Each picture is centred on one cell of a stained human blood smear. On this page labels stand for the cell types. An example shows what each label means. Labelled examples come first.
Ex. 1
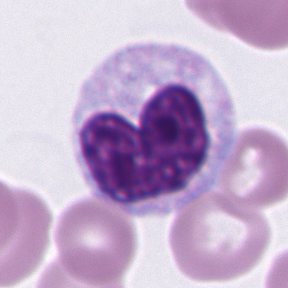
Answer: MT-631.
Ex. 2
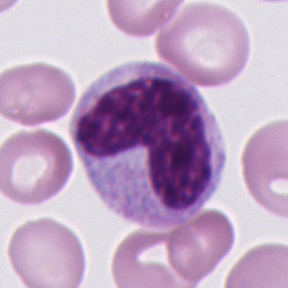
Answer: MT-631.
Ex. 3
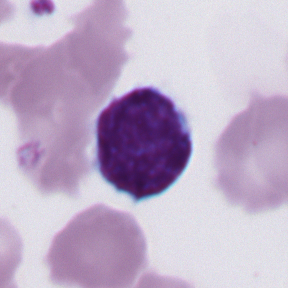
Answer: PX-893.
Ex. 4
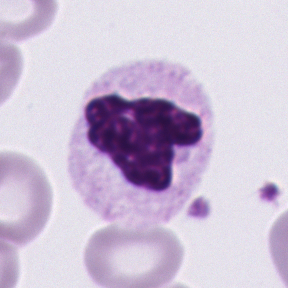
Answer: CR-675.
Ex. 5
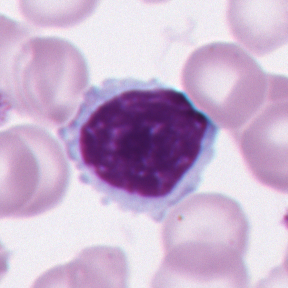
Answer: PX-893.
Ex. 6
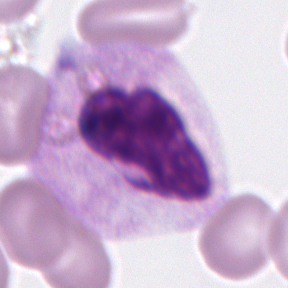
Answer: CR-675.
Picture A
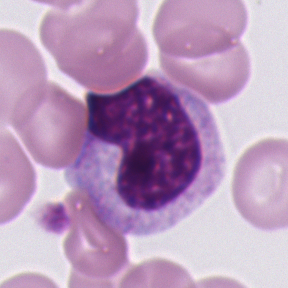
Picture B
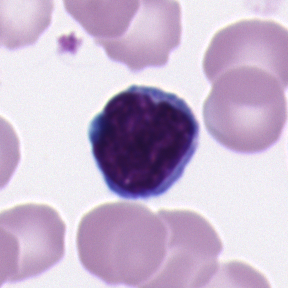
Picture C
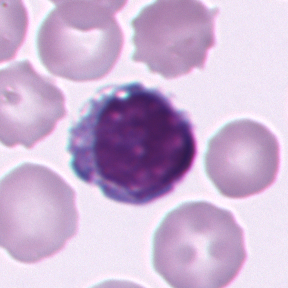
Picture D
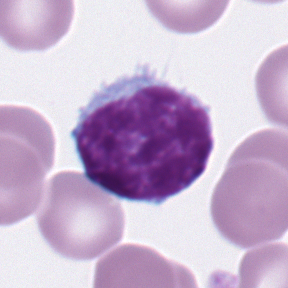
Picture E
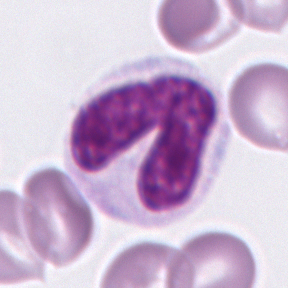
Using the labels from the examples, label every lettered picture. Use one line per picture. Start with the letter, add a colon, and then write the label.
A: MT-631.
B: PX-893.
C: PX-893.
D: PX-893.
E: MT-631.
